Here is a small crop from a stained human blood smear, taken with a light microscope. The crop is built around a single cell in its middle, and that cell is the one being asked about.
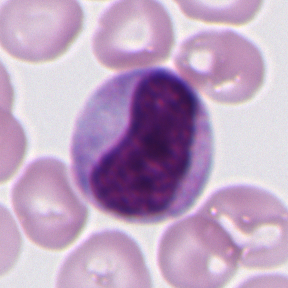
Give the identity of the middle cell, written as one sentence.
The cell under consideration, at the middle of the crop, is a metamyelocyte.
